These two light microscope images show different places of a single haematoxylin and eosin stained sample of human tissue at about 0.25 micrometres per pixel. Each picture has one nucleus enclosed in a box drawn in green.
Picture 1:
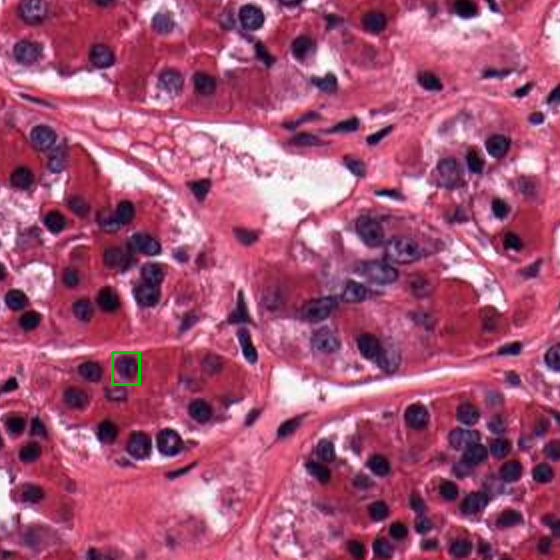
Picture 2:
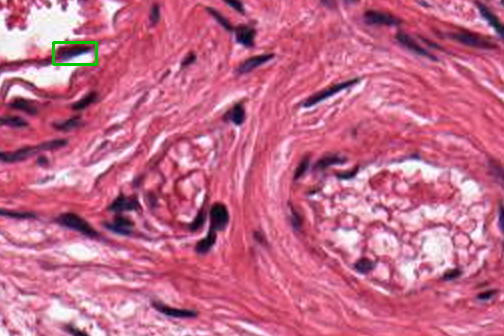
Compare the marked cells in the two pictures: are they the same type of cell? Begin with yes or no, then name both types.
No, the first is an anterior pituitary cell and the second an endothelial cell.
